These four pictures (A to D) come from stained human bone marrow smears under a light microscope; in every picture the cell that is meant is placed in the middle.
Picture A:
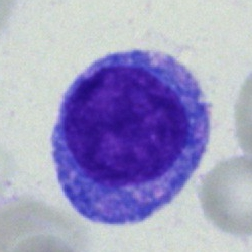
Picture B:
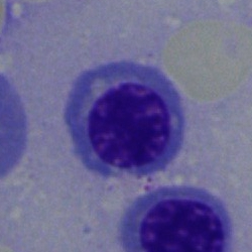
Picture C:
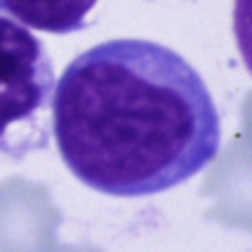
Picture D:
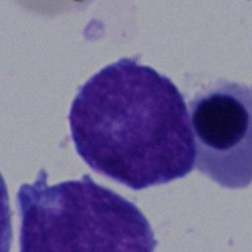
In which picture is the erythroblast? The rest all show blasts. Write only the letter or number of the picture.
B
